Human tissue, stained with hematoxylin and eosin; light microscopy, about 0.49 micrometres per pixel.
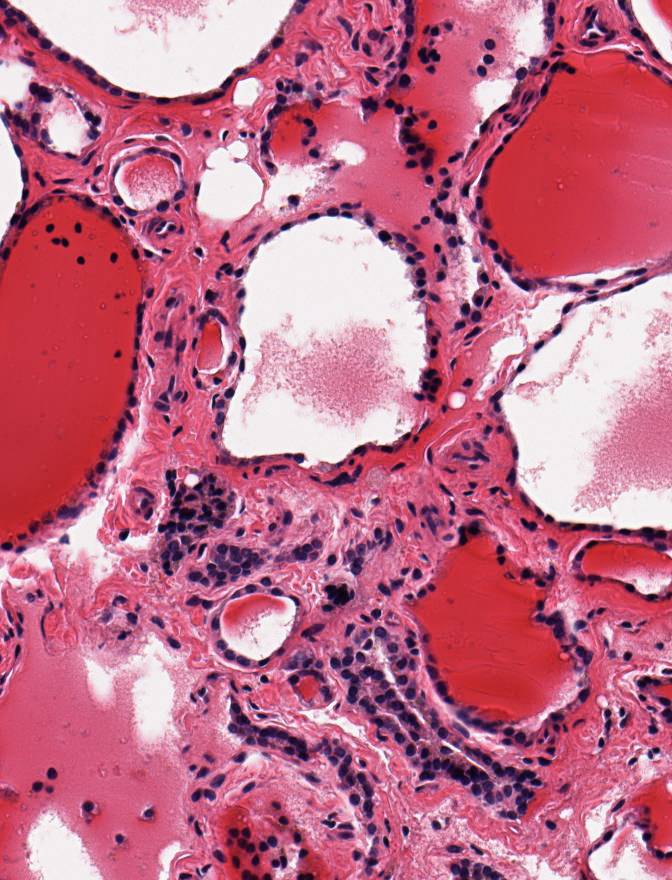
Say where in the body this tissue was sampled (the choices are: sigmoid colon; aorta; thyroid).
thyroid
